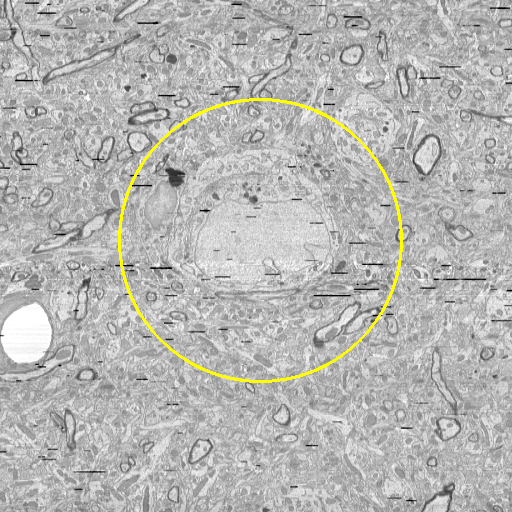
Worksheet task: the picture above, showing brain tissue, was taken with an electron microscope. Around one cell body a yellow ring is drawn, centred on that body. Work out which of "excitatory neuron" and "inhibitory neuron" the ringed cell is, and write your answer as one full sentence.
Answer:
It is an inhibitory neuron whose cell body lies at the centre of the yellow ring.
